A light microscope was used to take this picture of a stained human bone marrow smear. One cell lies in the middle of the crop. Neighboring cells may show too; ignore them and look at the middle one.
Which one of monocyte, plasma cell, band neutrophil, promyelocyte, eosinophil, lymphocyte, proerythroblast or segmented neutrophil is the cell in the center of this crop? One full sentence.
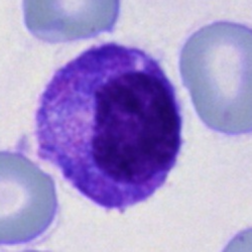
In the crop, the cell of interest at the centre is a promyelocyte.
